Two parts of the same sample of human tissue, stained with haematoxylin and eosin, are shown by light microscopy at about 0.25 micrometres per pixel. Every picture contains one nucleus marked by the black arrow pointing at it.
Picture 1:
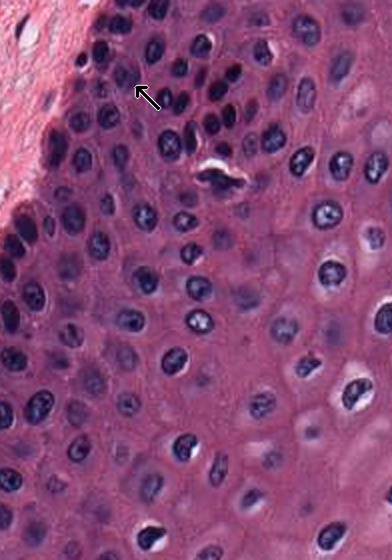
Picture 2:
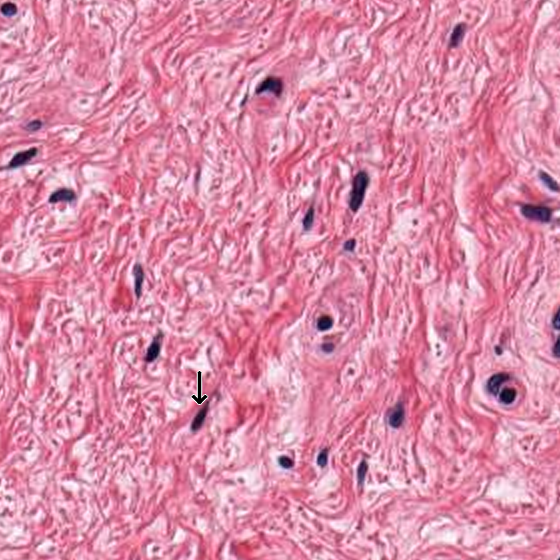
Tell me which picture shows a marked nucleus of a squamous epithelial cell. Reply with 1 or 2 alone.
1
